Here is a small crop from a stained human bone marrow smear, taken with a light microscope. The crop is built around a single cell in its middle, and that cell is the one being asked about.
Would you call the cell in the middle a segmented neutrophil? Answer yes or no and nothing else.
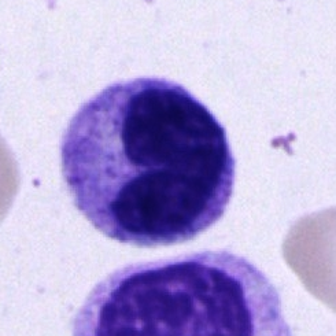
no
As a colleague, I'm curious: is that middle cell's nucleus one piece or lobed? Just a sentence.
We find a nucleus divided into at least two lobes.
